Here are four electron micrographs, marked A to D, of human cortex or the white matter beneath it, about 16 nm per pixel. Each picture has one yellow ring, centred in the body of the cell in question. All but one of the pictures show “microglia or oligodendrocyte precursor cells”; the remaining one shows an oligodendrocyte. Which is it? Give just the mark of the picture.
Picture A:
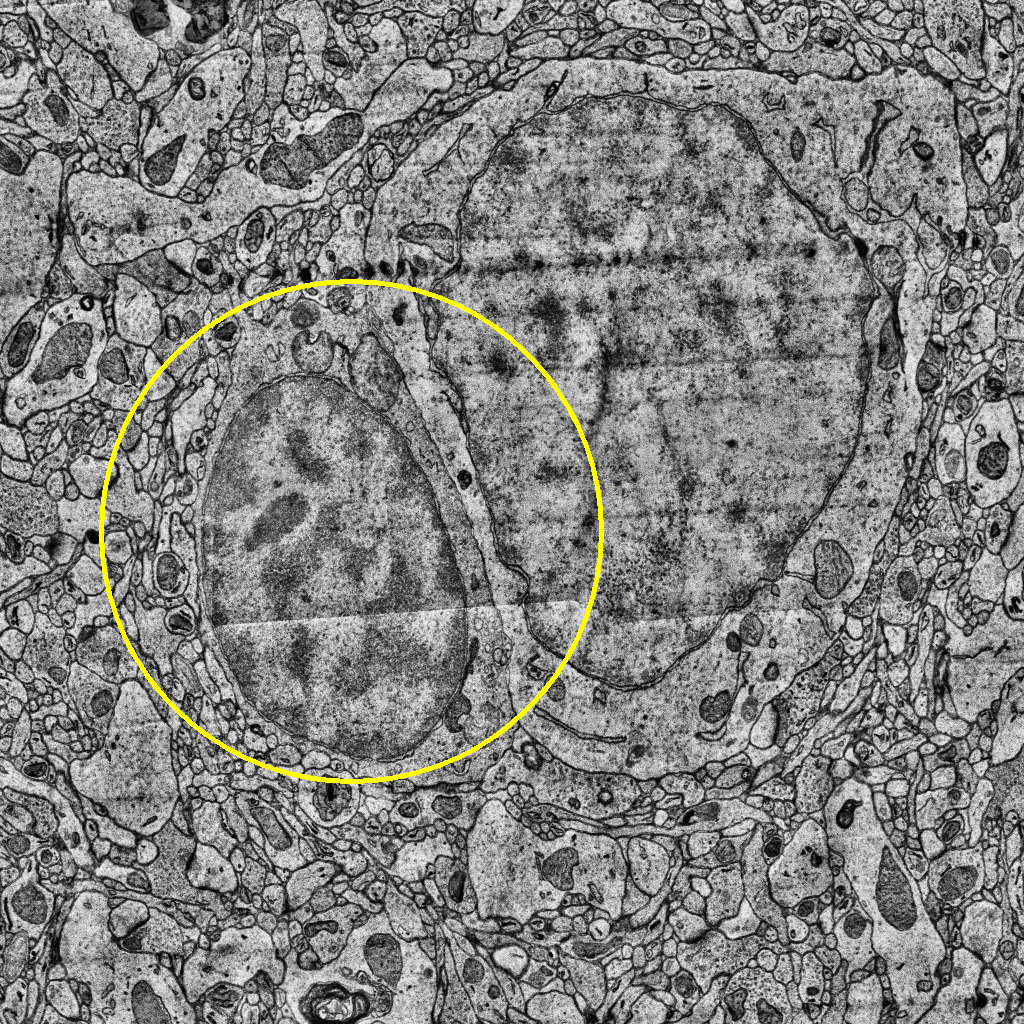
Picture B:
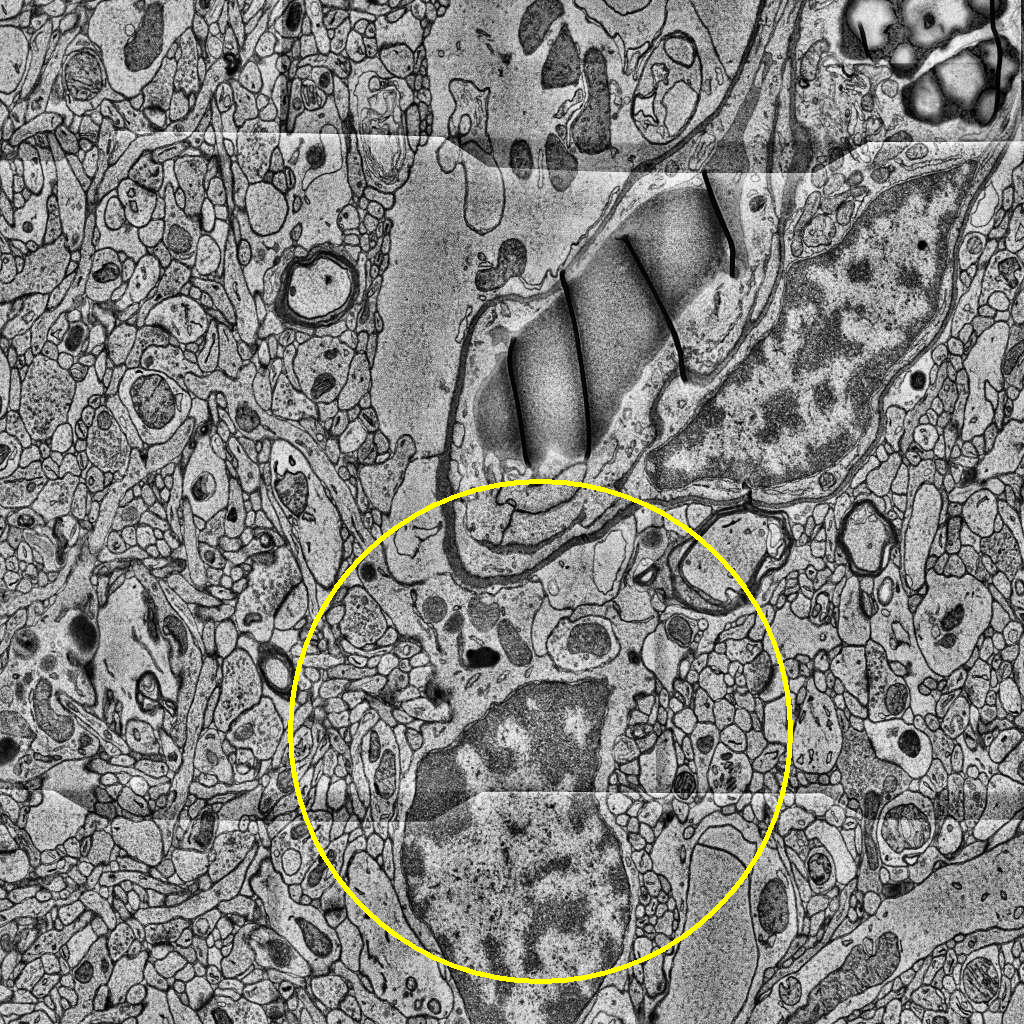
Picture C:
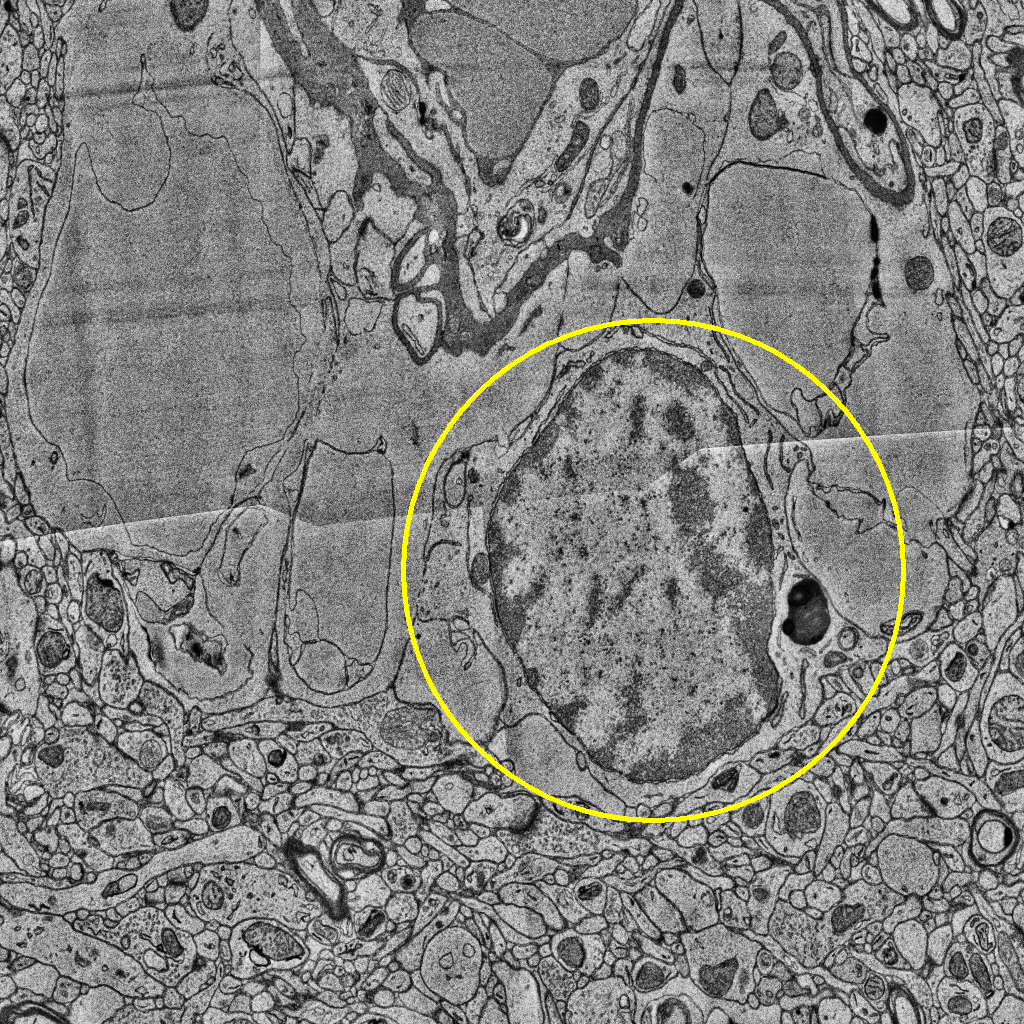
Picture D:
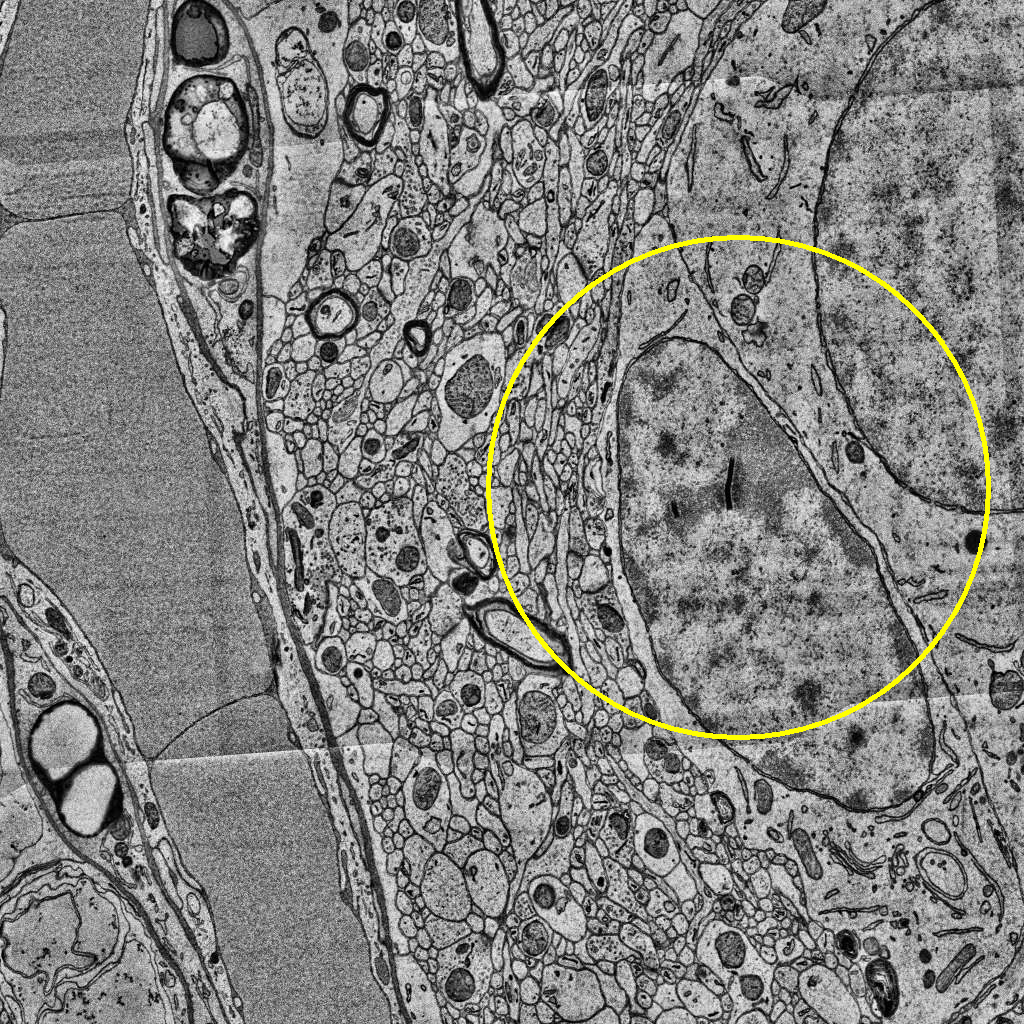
A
